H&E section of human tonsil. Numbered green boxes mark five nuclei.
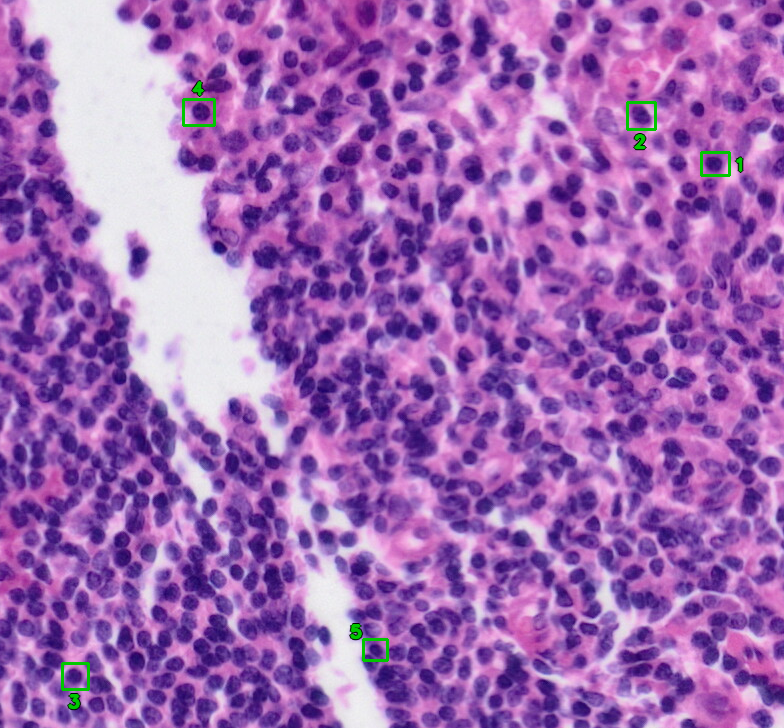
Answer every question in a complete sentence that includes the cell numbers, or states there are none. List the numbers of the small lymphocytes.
The cells with the number labels 3 and 5 are small lymphocytes.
